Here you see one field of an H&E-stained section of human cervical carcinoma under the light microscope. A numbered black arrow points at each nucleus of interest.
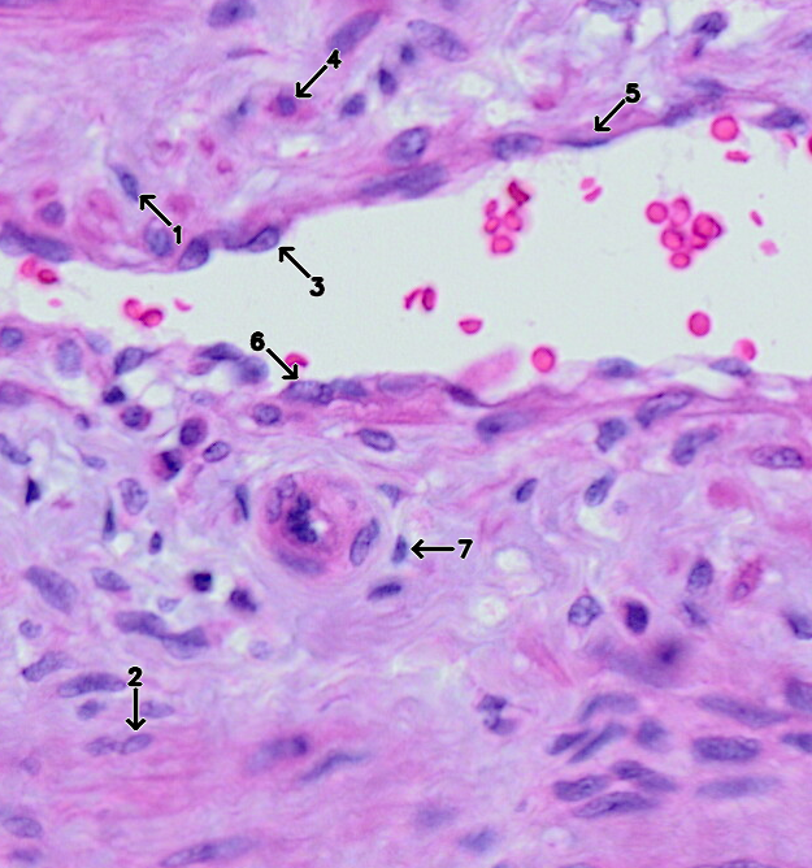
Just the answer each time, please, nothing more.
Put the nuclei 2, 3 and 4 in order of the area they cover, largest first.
3, 2, 4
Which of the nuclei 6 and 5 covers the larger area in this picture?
6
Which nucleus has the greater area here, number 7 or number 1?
1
